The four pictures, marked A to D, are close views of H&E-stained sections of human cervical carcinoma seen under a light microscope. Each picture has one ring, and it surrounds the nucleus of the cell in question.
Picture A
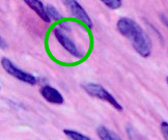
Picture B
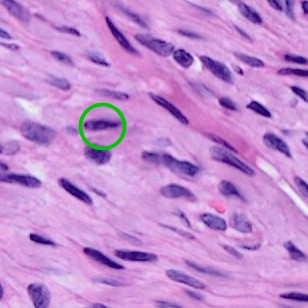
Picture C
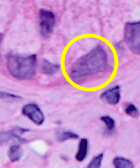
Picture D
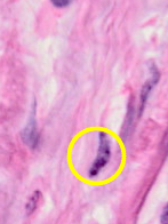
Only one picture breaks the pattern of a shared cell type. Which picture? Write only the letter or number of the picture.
C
